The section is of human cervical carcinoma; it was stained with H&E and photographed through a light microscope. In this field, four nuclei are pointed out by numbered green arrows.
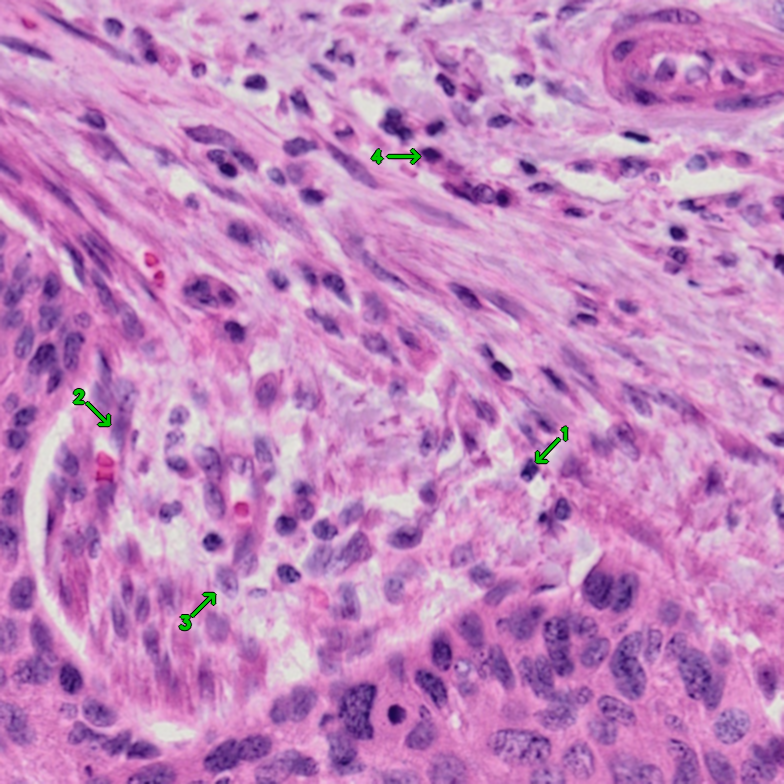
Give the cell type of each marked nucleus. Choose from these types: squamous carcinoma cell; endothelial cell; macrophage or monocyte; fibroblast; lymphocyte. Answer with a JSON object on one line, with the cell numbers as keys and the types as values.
{"1": "lymphocyte", "2": "endothelial cell", "3": "fibroblast", "4": "lymphocyte"}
